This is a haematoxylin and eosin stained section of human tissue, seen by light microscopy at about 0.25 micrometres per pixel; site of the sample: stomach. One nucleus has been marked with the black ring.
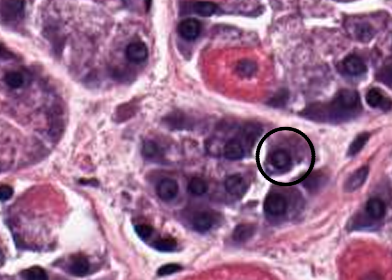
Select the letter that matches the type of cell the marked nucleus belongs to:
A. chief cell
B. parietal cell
A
